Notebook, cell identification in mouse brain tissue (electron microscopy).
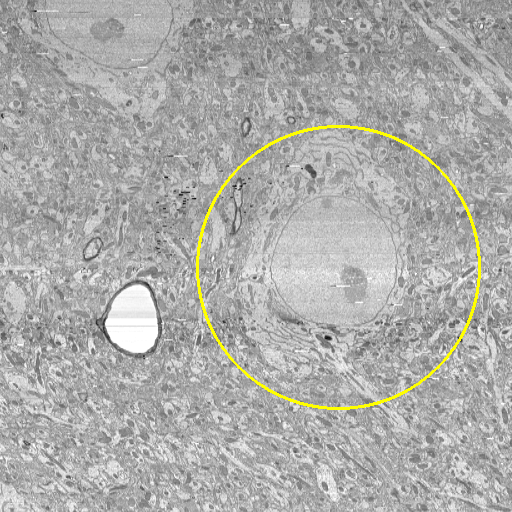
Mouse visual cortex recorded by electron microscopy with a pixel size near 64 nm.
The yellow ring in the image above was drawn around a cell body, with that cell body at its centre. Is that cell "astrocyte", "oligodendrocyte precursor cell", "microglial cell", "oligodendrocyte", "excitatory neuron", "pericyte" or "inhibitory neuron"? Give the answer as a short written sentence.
The cell in the ring is an excitatory neuron.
